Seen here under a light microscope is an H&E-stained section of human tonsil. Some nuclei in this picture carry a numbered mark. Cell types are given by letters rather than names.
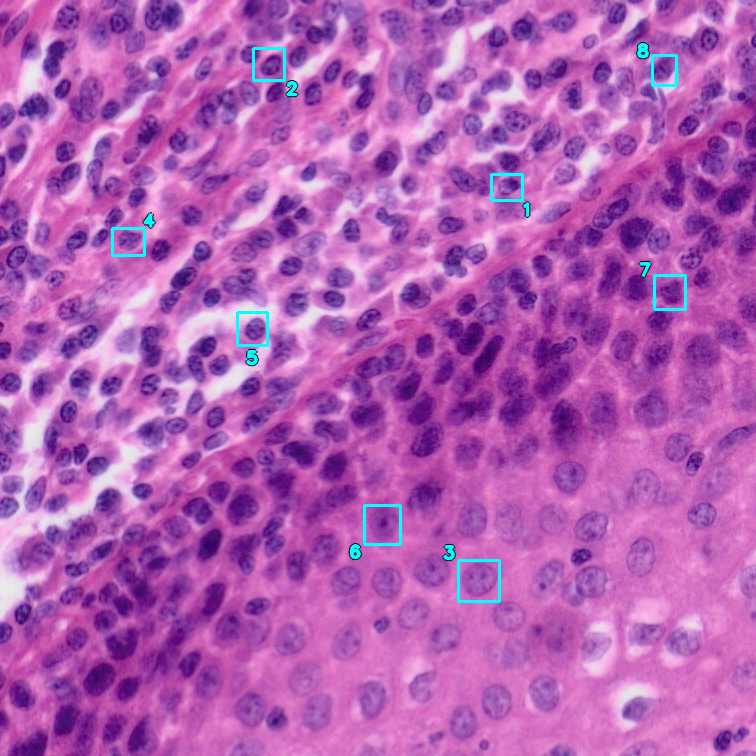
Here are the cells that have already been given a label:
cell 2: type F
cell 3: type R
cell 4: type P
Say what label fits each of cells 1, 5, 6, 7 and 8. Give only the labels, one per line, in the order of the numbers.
type F
type F
type R
type R
type F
